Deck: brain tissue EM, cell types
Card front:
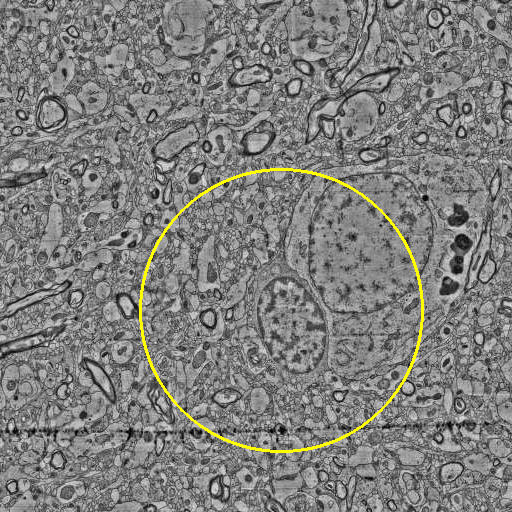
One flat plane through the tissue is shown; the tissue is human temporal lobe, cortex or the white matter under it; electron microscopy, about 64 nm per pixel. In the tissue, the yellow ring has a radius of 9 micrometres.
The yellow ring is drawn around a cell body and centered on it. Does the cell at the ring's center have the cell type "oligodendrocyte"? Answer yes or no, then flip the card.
yes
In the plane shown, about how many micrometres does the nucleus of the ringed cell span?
About 6 by 4 micrometers; the nucleus is clearly longer than it is wide in this plane.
